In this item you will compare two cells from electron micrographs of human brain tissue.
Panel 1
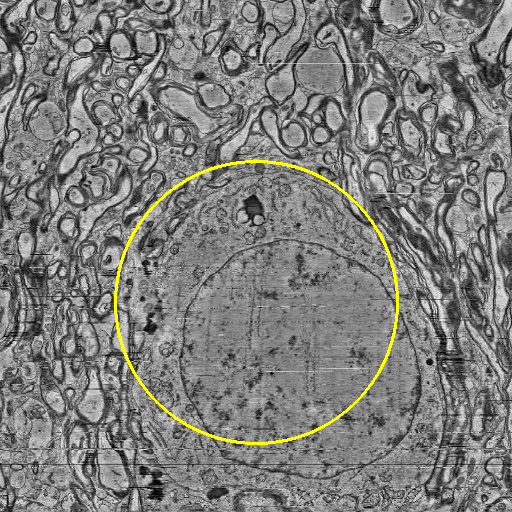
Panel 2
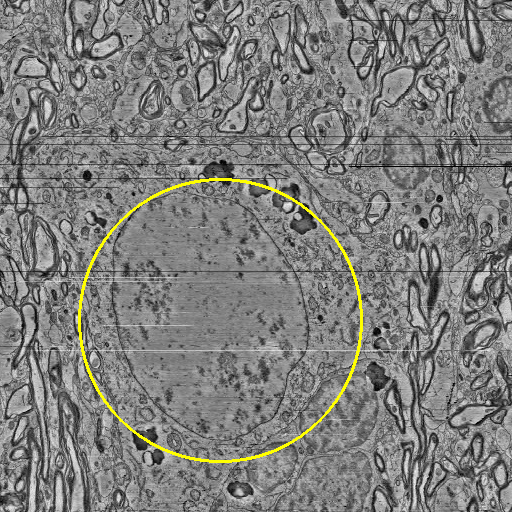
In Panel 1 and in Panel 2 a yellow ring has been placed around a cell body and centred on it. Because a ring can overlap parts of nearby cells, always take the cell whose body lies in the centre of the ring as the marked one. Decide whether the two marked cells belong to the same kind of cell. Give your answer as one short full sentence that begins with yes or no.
Yes, the two marked cells belong to the same kind of cell.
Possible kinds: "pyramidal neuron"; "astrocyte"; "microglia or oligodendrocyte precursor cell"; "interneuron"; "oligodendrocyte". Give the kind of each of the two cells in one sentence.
Each of the two rings surrounds a pyramidal neuron.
